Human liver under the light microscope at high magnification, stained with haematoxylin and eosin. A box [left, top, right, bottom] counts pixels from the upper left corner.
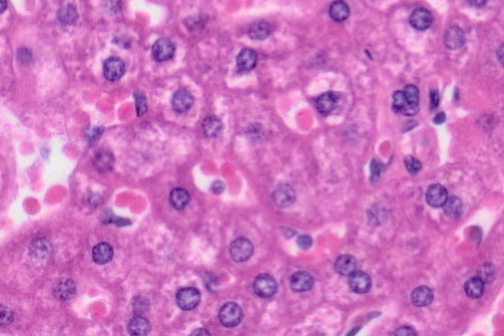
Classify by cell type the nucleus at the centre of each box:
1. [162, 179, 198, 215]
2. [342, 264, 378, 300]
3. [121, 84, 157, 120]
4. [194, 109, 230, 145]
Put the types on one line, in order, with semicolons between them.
hepatocyte; hepatocyte; endothelial cell; hepatocyte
